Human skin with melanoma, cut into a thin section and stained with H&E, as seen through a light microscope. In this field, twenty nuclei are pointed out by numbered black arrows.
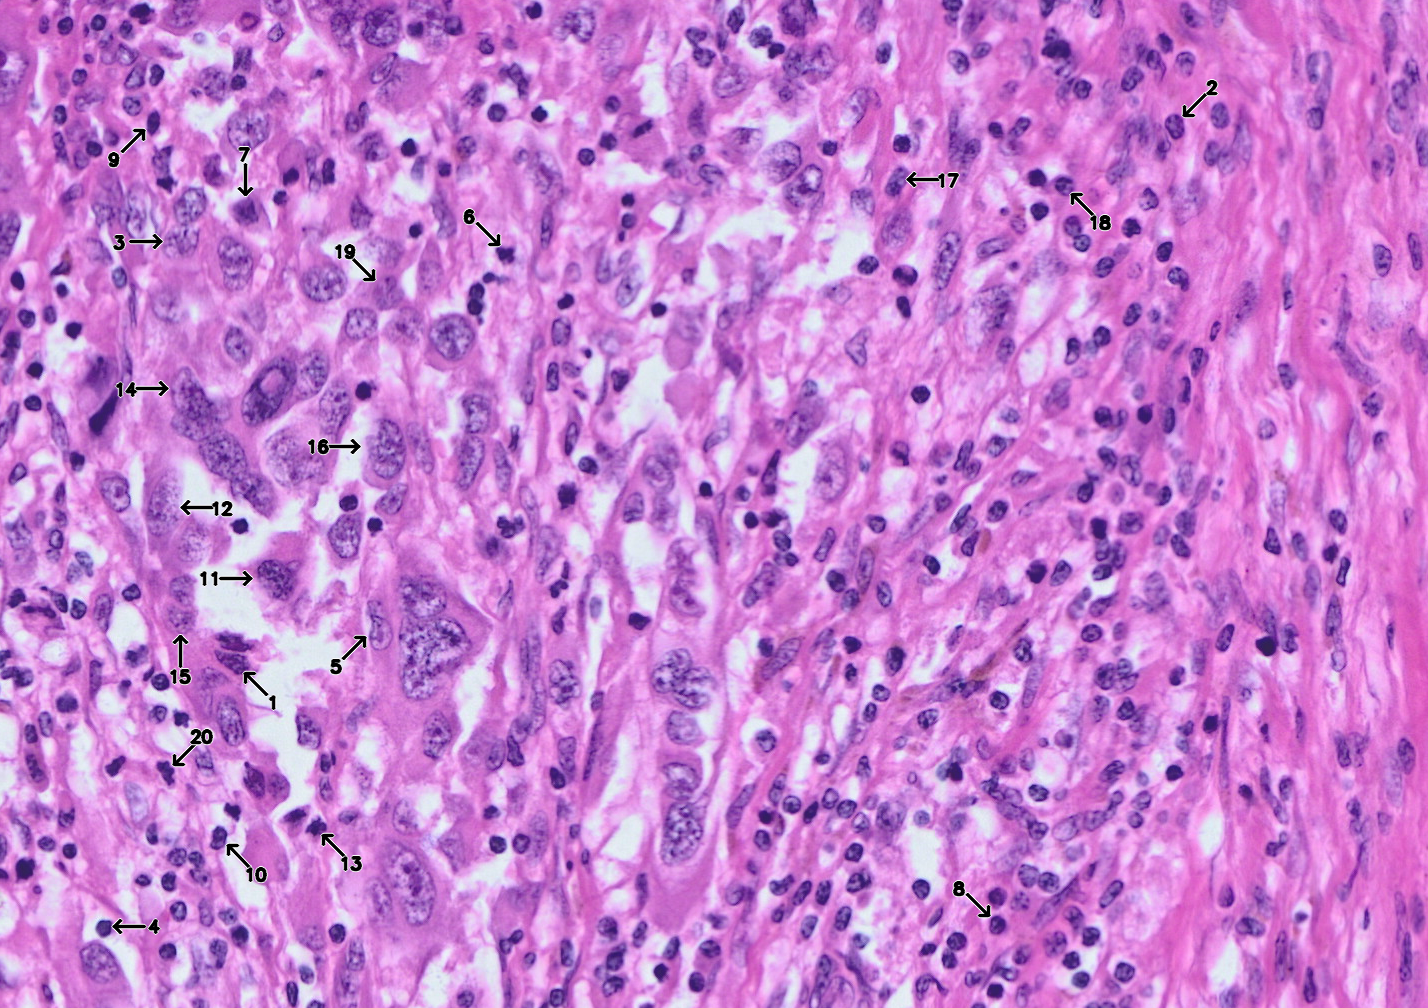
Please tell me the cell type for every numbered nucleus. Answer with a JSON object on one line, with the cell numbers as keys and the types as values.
{"1": "melanoma cell", "2": "lymphocyte", "3": "melanoma cell", "4": "lymphocyte", "5": "melanoma cell", "6": "lymphocyte", "7": "melanoma cell", "8": "lymphocyte", "9": "lymphocyte", "10": "lymphocyte", "11": "melanoma cell", "12": "melanoma cell", "13": "lymphocyte", "14": "melanoma cell", "15": "melanoma cell", "16": "melanoma cell", "17": "lymphocyte", "18": "plasma cell", "19": "melanoma cell", "20": "lymphocyte"}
